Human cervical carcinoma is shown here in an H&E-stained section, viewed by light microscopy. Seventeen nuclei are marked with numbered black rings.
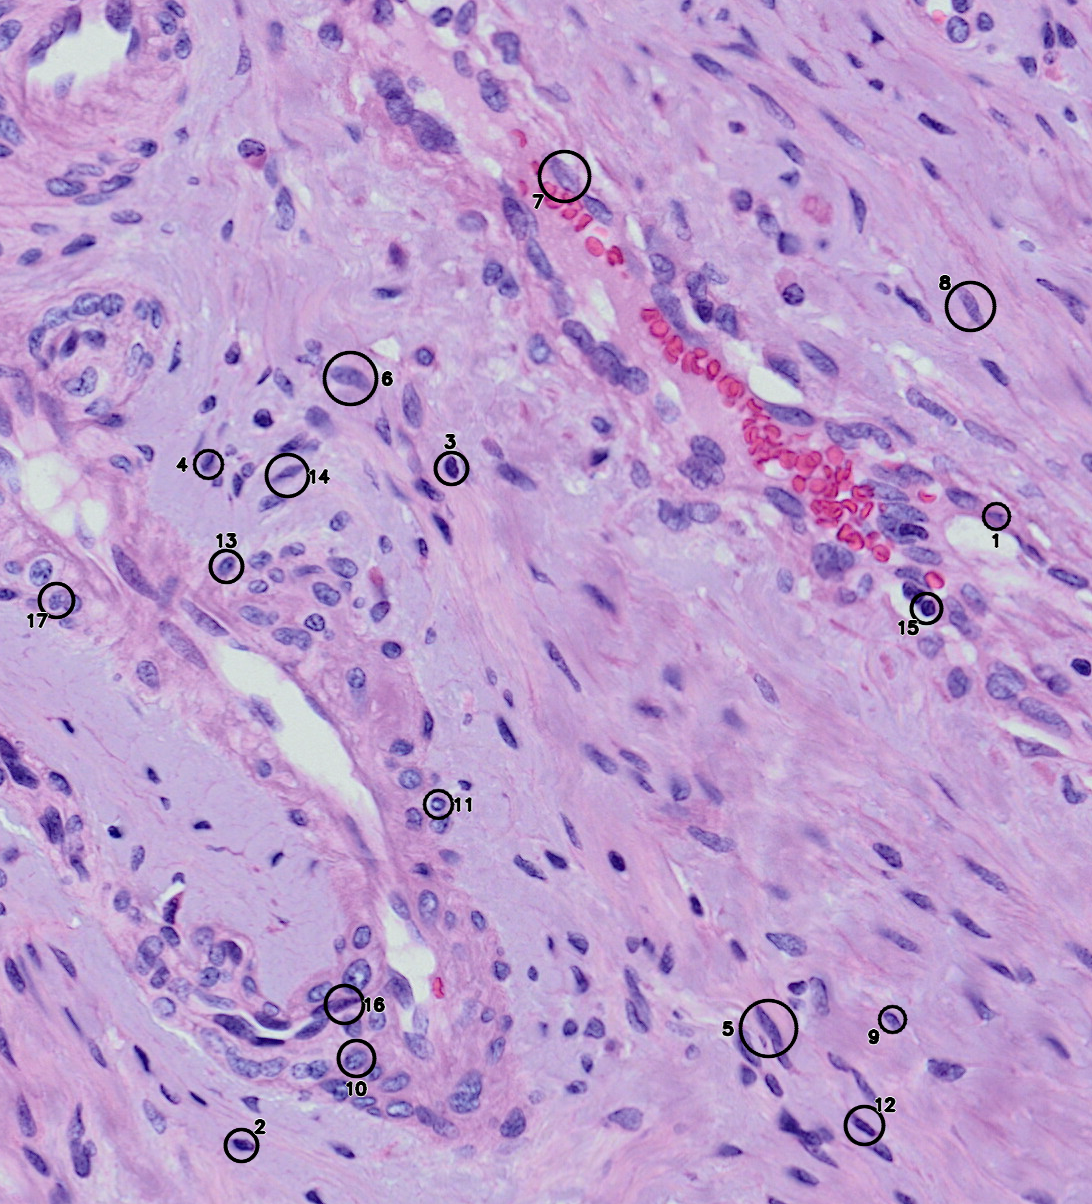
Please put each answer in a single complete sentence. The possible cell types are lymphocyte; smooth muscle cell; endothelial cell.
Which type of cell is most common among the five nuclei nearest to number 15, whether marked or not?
Of the five nuclei nearest to number 15, most belong to endothelial cells.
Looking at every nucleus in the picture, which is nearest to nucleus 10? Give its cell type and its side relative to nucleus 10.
The nearest one is a smooth muscle cell, found below and to the right of nucleus 10.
